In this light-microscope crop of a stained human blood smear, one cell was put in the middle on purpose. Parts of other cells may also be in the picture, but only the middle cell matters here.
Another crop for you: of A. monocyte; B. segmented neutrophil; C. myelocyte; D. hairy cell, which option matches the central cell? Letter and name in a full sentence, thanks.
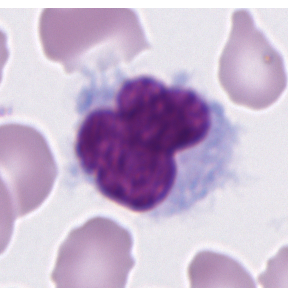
The right choice is option D: the cell in the middle is a hairy cell.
